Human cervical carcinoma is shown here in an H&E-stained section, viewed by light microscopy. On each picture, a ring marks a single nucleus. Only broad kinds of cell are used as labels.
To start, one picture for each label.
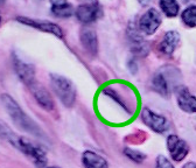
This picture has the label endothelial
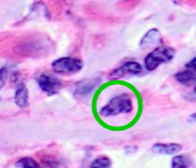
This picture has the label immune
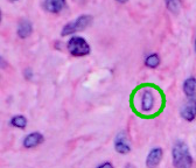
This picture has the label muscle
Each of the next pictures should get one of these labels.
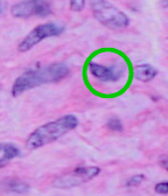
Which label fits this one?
muscle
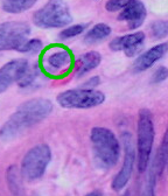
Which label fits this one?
endothelial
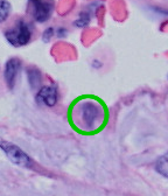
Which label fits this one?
endothelial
